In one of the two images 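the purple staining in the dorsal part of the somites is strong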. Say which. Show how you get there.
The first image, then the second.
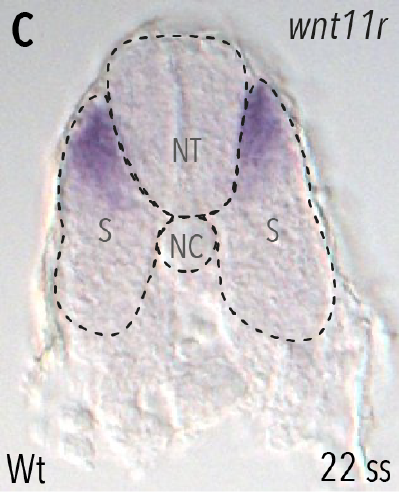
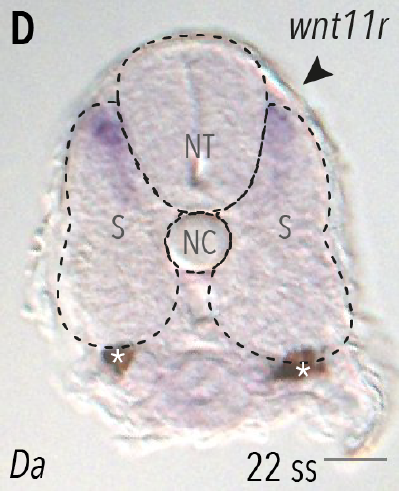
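Second image: only faint purple staining in the dorsal tips of the somites. First image: intense purple staining fills the dorsal part of both somites.
The first image.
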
